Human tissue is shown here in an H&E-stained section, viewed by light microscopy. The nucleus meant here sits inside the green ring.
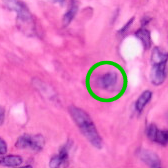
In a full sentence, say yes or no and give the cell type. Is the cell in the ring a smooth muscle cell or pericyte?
Yes, the cell in the ring is accurately described as a smooth muscle cell or pericyte.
